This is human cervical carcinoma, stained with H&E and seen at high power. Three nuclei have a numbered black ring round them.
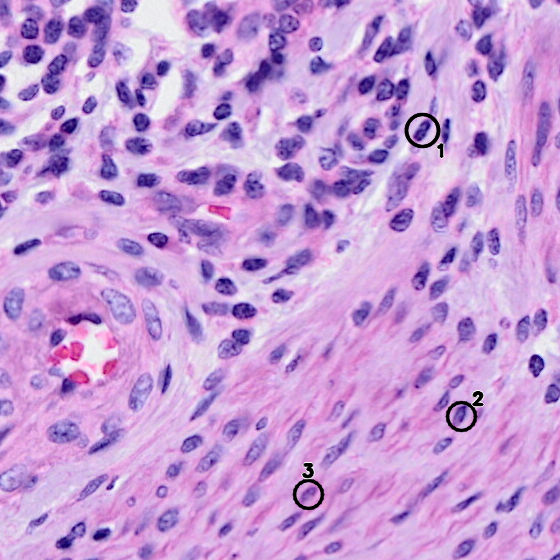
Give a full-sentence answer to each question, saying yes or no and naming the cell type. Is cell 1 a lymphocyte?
Yes, the cell at the mark numbered 1 is a lymphocyte.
